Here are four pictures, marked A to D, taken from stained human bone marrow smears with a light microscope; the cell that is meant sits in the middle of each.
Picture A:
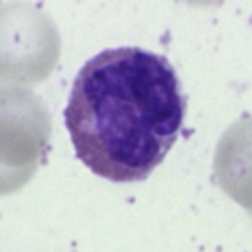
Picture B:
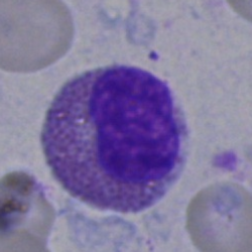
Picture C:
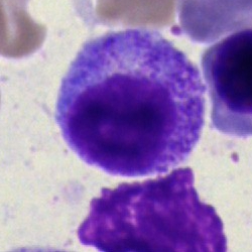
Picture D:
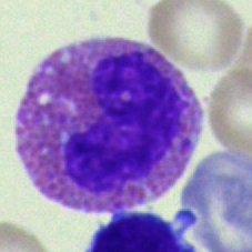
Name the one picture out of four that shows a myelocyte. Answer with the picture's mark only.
C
